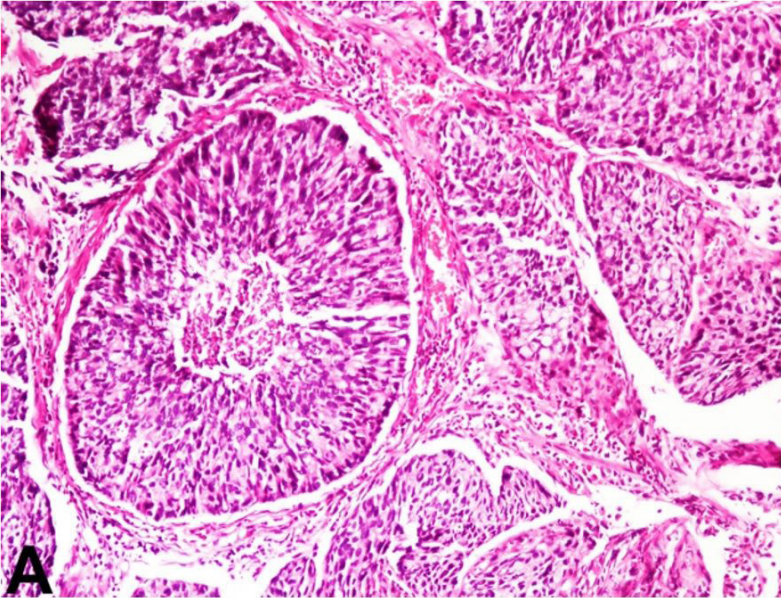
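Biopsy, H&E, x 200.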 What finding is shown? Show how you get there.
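Nests of tumor cells with central comedo like necrosis. Large rounded nests of crowded dark-nucleated cells are separated by thin strands of pink stroma. The largest nest has a paler, loosened centre with debris. Cells at the nest edges are elongated and line up radially toward the centre.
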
